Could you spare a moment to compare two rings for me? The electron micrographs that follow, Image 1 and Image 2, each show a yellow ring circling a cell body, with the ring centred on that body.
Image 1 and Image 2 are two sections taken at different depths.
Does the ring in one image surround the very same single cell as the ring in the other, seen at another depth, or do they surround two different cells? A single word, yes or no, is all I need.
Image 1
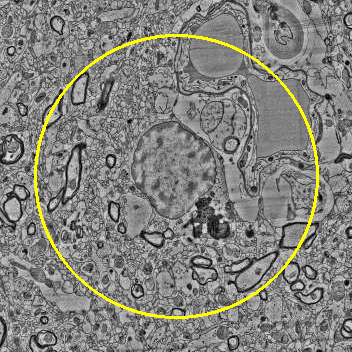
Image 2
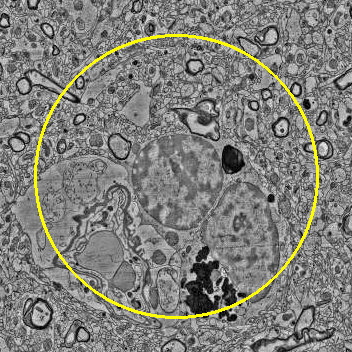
no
